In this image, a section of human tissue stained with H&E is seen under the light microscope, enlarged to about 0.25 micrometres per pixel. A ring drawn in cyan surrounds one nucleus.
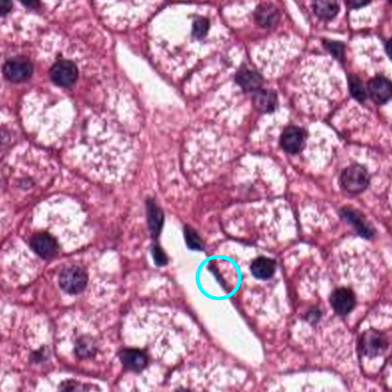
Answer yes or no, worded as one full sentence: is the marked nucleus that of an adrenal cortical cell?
No, a supporting cell is the one to which the marked nucleus belongs, not an adrenal cortical cell.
